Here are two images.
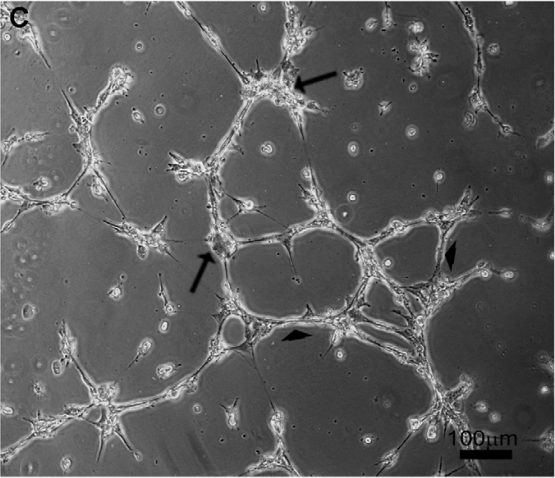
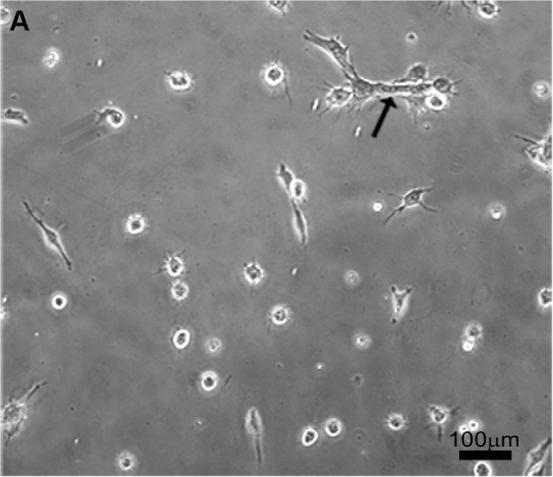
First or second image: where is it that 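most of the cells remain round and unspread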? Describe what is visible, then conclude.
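The second image. First image: most cells are flattened and elongated, joined into a network of cords. Second image: most cells are small, round and bright-rimmed, lying singly.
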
